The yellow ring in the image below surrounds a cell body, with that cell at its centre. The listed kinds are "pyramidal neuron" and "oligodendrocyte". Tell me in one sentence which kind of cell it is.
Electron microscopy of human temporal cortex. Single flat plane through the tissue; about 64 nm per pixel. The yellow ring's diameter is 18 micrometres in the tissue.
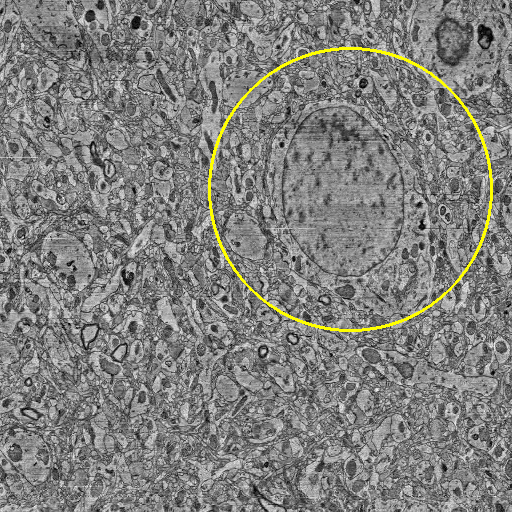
The centre of the ring holds a pyramidal neuron.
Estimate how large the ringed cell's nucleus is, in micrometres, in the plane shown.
About 11 by 8 micrometers, in this plane.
